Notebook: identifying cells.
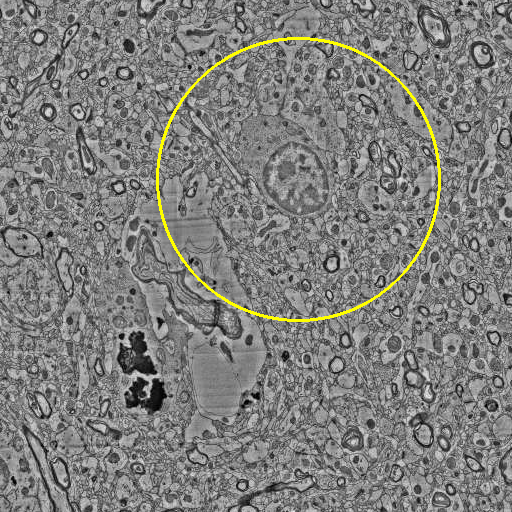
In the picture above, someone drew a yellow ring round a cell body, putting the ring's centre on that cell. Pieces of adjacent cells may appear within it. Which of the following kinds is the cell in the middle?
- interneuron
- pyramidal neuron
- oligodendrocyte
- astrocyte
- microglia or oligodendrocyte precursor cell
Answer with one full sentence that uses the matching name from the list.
In this picture, the yellow ring is centred on the body of an oligodendrocyte.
